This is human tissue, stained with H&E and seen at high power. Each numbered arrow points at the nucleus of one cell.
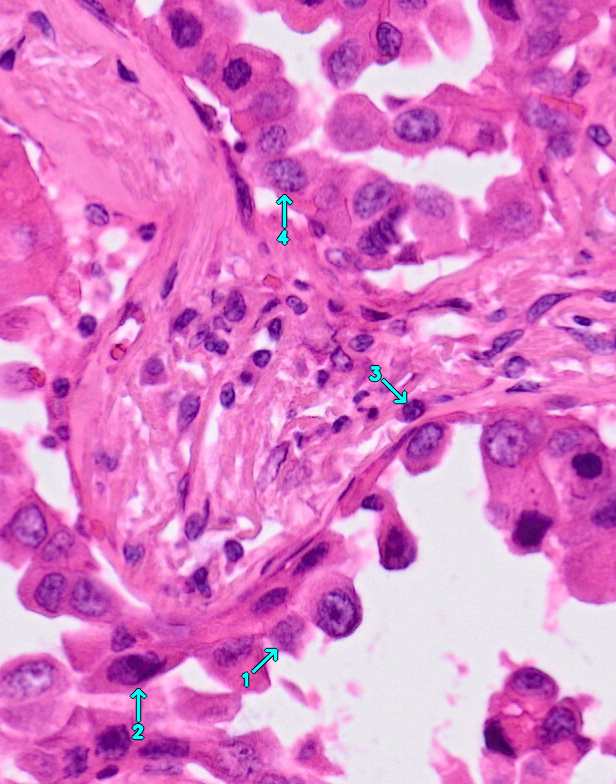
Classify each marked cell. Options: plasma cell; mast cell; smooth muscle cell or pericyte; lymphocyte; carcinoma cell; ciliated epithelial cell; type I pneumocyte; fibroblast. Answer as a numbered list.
1. carcinoma cell
2. carcinoma cell
3. plasma cell
4. carcinoma cell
